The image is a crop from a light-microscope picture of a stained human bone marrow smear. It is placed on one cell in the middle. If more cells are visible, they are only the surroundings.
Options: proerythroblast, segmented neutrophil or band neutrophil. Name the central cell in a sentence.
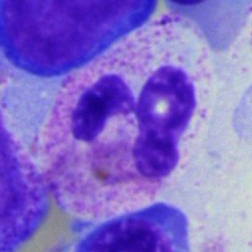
The cell nearest the centre of this crop is a segmented neutrophil.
